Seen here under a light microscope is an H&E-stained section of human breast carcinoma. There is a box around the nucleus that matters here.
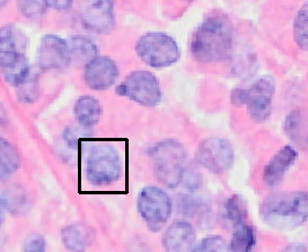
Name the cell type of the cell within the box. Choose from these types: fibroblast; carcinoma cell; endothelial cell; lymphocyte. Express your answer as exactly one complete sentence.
Within the stained tissue, the cell within the box is a carcinoma cell.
